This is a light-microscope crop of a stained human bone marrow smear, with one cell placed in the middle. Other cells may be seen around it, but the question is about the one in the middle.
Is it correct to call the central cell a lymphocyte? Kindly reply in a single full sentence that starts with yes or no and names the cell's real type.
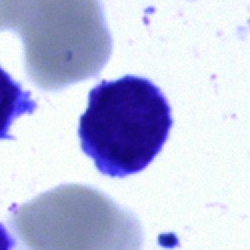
Yes, the cell found in the center of the crop is a lymphocyte.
